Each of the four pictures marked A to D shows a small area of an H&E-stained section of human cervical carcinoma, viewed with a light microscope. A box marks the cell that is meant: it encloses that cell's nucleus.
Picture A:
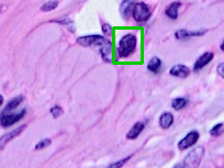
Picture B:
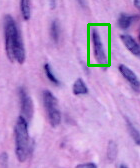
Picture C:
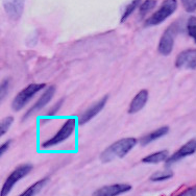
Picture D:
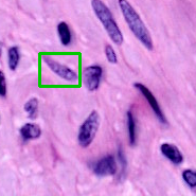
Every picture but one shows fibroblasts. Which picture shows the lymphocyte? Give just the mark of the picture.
A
